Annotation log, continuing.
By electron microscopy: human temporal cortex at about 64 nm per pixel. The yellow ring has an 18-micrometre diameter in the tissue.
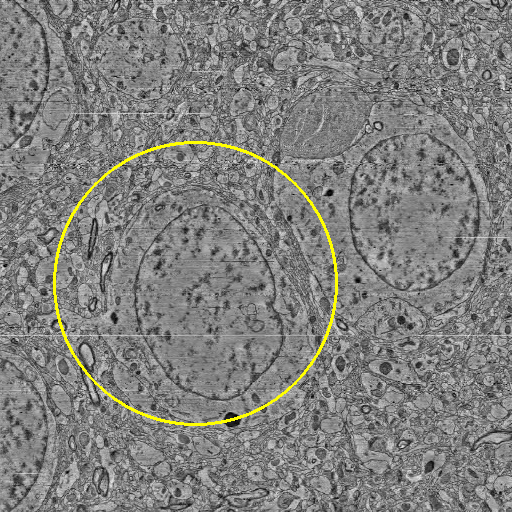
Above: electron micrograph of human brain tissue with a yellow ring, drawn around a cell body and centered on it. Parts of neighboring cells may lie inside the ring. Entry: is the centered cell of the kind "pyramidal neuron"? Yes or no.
Yes, the centered cell is of that kind.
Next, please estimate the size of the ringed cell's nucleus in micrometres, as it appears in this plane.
About 13 by 9 micrometers for the nucleus, in this plane.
